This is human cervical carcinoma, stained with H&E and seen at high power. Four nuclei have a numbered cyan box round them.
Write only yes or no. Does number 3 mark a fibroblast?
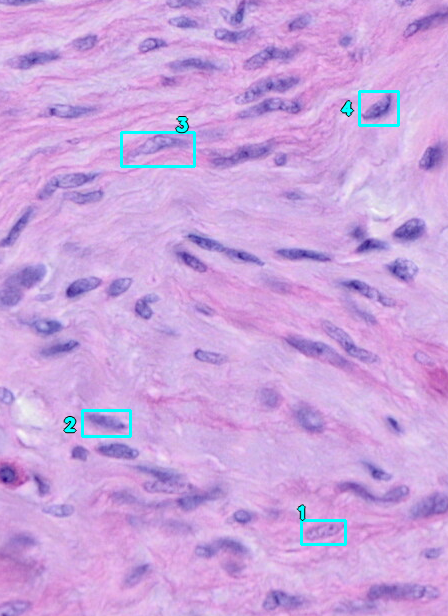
no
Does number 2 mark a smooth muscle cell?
no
